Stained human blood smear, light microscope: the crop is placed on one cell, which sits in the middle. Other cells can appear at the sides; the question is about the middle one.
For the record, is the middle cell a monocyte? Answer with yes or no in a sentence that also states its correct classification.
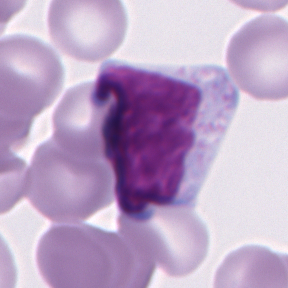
No, instead of a monocyte, the middle cell is a large granular lymphocyte.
